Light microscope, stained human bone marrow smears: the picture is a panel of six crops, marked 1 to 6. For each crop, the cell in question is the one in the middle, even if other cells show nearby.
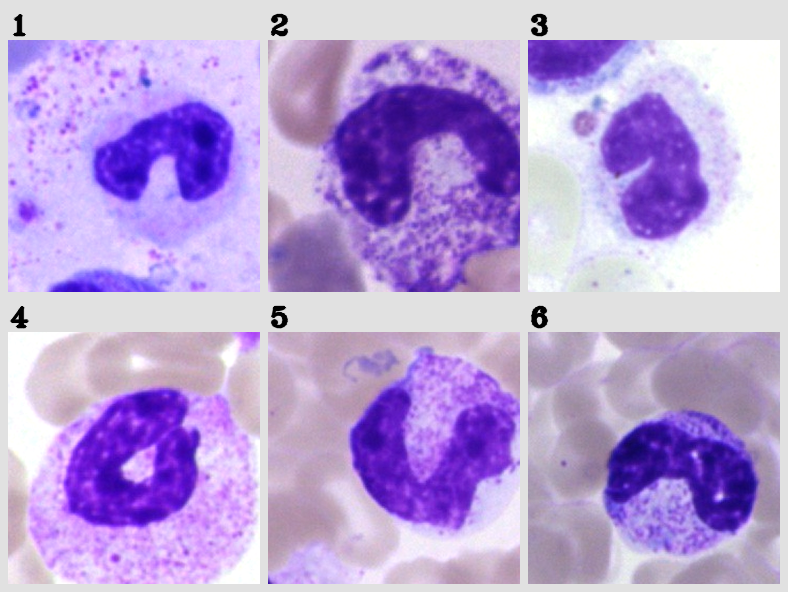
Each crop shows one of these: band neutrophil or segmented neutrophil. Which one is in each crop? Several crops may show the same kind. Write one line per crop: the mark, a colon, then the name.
1: band neutrophil
2: band neutrophil
3: band neutrophil
4: segmented neutrophil
5: band neutrophil
6: band neutrophil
